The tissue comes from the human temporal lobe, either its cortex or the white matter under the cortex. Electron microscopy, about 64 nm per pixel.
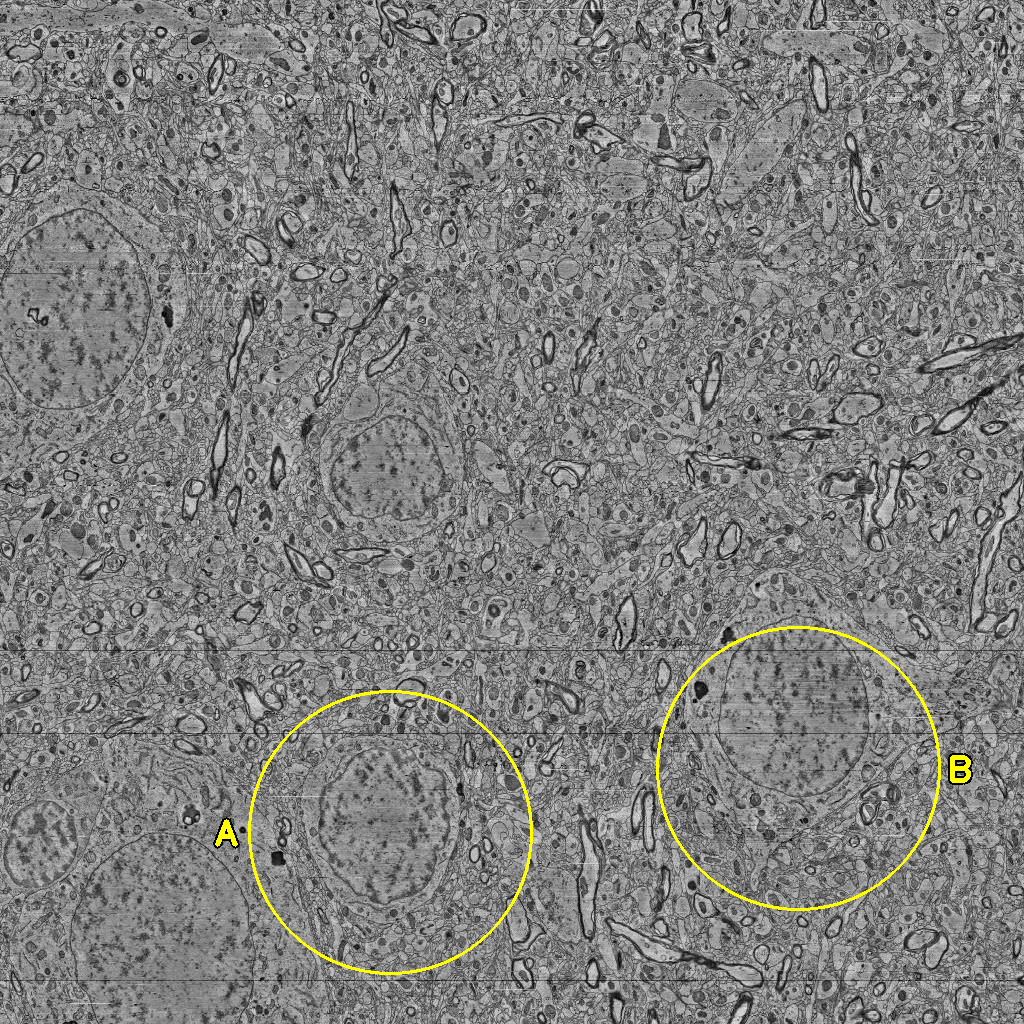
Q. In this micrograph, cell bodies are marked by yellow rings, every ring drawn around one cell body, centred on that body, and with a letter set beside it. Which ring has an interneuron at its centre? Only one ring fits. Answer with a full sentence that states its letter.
The ring lettered A surrounds the cell asked for at its centre.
